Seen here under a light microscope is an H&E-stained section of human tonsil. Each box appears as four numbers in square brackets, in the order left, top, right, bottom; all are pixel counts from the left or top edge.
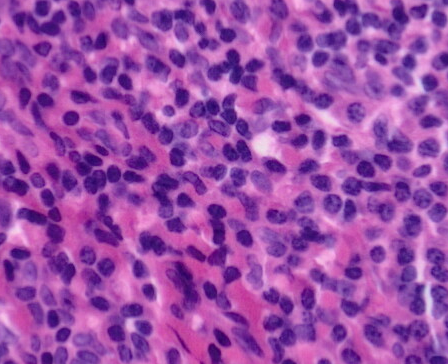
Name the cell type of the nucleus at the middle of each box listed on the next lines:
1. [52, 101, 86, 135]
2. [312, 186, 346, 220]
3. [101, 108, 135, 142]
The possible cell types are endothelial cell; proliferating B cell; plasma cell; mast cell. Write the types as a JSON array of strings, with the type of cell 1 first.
["endothelial cell", "plasma cell", "endothelial cell"]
